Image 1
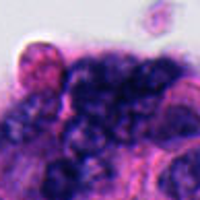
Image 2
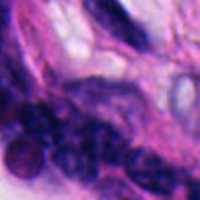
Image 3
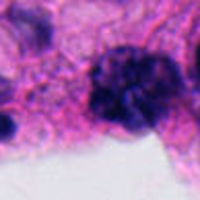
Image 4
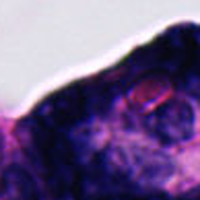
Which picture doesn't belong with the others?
Picture 2.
